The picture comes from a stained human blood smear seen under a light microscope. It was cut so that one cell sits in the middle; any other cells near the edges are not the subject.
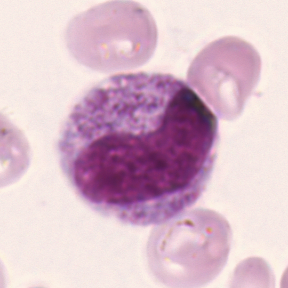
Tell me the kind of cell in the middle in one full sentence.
At the center of the crop sits a metamyelocyte.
